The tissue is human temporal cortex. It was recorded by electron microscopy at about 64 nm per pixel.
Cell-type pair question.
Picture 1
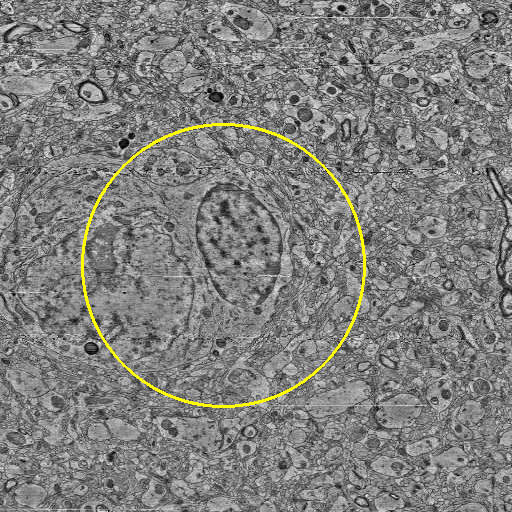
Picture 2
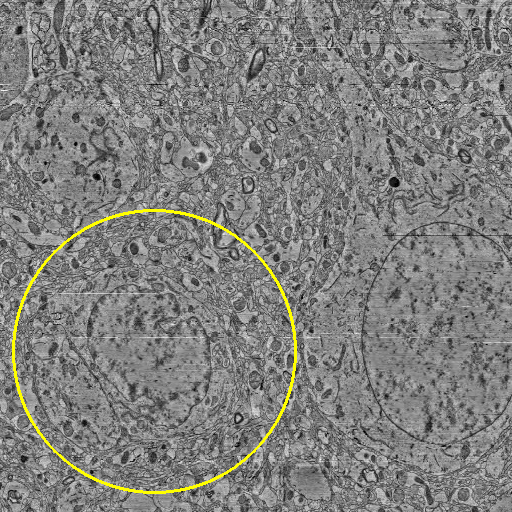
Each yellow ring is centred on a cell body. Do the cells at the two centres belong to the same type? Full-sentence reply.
No, the two cells belong to two types.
